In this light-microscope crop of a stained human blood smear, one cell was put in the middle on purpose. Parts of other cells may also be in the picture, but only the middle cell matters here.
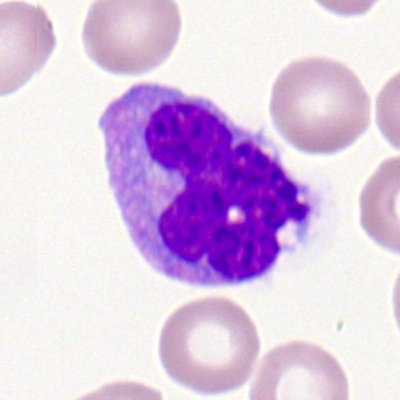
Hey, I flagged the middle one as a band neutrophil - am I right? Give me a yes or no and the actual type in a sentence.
No, the one in the center is not a band neutrophil; it is a monocyte.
